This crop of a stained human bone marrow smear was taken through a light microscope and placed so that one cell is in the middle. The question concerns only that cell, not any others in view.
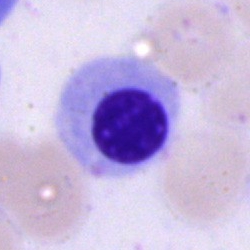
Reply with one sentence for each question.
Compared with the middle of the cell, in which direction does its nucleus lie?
The nucleus lies toward the lower right of the cell.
